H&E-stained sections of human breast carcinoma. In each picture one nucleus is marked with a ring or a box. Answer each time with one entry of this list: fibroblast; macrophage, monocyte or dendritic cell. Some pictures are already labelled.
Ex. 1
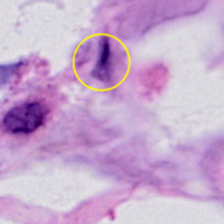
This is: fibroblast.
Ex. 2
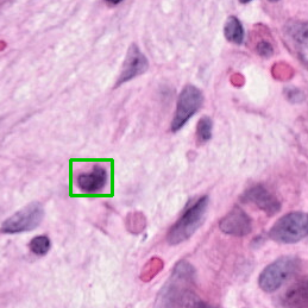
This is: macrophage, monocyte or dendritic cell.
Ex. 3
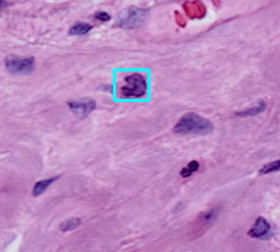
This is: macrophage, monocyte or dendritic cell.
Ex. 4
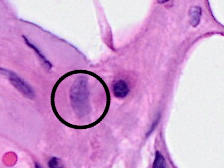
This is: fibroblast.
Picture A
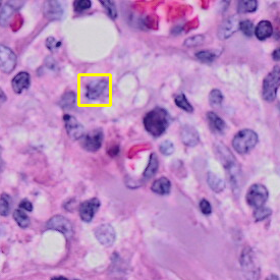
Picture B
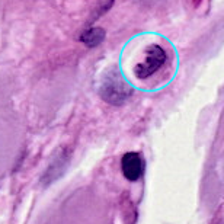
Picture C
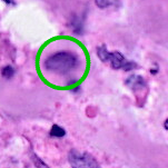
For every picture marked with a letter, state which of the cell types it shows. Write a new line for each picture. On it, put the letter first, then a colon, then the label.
A: macrophage, monocyte or dendritic cell.
B: macrophage, monocyte or dendritic cell.
C: macrophage, monocyte or dendritic cell.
